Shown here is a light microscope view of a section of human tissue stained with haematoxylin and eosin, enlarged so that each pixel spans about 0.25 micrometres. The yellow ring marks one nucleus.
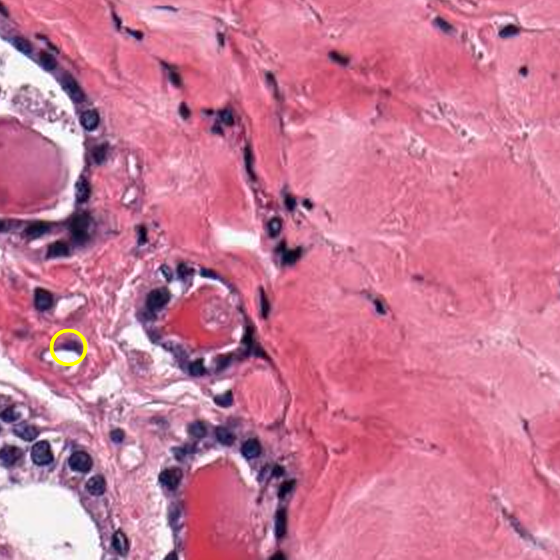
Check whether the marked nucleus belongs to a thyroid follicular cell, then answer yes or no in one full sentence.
No, the marked nucleus is assigned not to a thyroid follicular cell but to a supporting cell.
